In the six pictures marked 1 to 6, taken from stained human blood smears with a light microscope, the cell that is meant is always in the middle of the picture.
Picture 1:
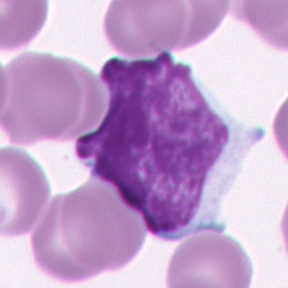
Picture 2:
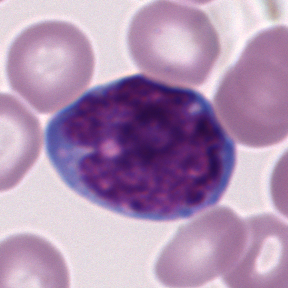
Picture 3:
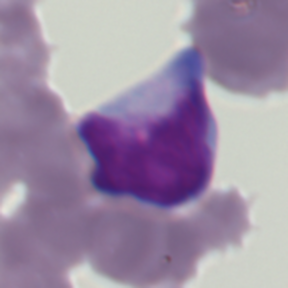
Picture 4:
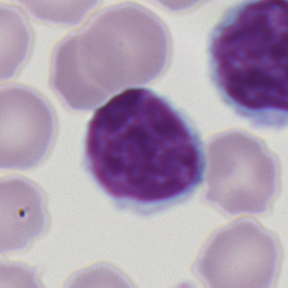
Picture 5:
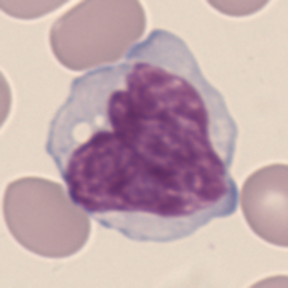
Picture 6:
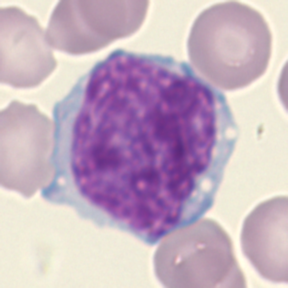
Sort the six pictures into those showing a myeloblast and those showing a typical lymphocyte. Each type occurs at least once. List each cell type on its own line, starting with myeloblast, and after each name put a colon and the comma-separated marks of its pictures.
myeloblast: 2, 3, 5, 6
typical lymphocyte: 1, 4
